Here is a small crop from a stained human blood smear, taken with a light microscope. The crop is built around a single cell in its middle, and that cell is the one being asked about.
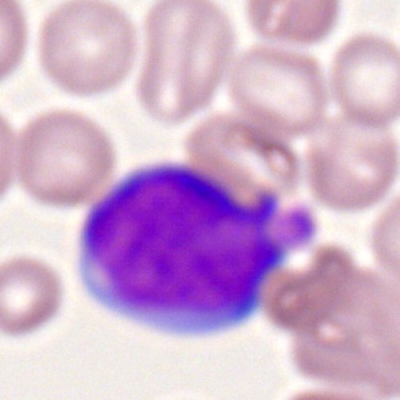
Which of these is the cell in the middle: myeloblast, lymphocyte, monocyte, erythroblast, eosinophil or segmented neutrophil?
myeloblast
